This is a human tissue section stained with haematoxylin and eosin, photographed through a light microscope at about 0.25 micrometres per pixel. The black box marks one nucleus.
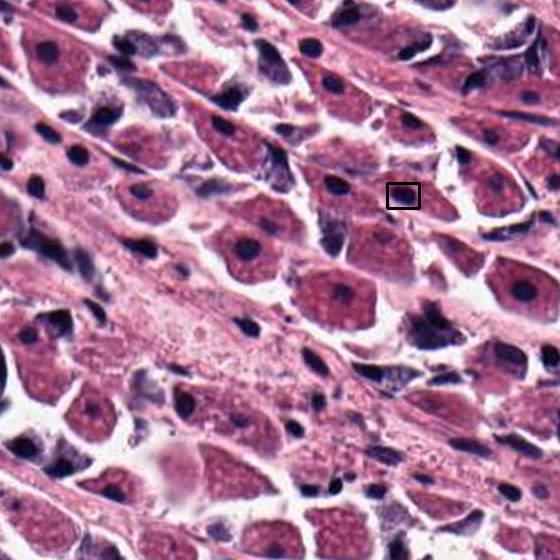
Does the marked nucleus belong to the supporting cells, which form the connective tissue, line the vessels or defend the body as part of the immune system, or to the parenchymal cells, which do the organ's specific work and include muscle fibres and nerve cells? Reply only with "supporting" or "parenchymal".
parenchymal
